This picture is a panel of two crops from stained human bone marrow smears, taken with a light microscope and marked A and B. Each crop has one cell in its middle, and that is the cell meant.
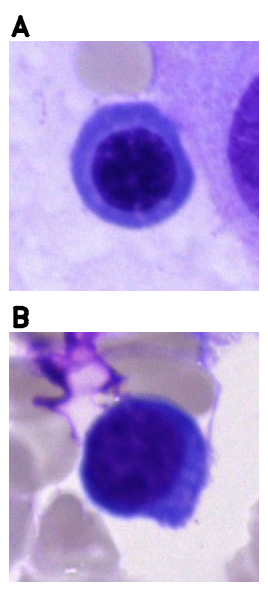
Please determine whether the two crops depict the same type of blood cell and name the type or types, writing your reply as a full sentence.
No, it is a normoblast in crop A and a plasma cell in crop B.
